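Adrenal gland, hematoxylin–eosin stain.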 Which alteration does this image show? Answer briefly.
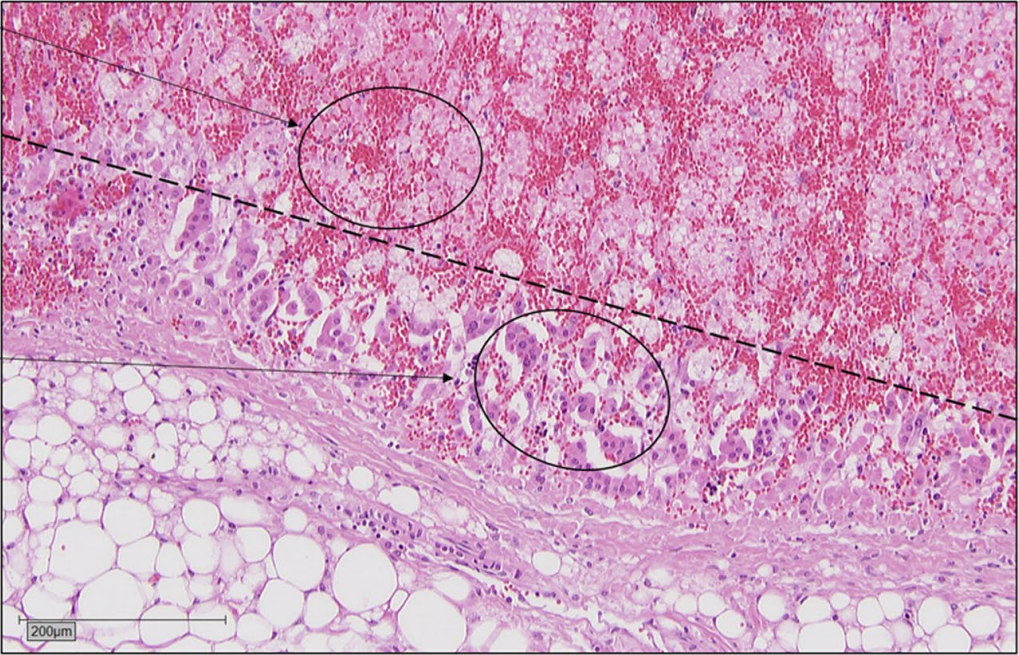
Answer: Hemorrhage.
